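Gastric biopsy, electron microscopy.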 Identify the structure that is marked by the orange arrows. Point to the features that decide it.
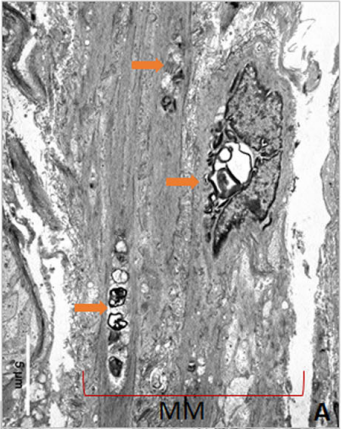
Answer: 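The arrows point to dark, electron-dense bodies inside cells. The bodies have curved, layered dark rims around paler centres. The answer: osmiophilic intracytoplasmic bodies.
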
